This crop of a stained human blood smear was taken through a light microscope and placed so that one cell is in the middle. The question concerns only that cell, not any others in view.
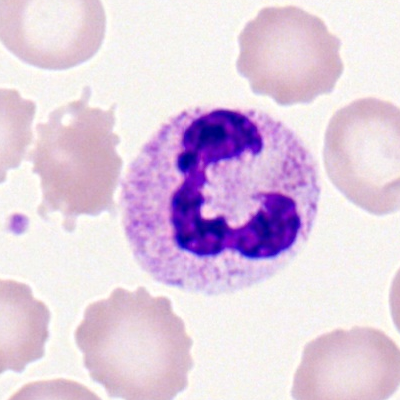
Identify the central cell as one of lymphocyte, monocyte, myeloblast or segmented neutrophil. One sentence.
The middle of this crop holds a segmented neutrophil.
